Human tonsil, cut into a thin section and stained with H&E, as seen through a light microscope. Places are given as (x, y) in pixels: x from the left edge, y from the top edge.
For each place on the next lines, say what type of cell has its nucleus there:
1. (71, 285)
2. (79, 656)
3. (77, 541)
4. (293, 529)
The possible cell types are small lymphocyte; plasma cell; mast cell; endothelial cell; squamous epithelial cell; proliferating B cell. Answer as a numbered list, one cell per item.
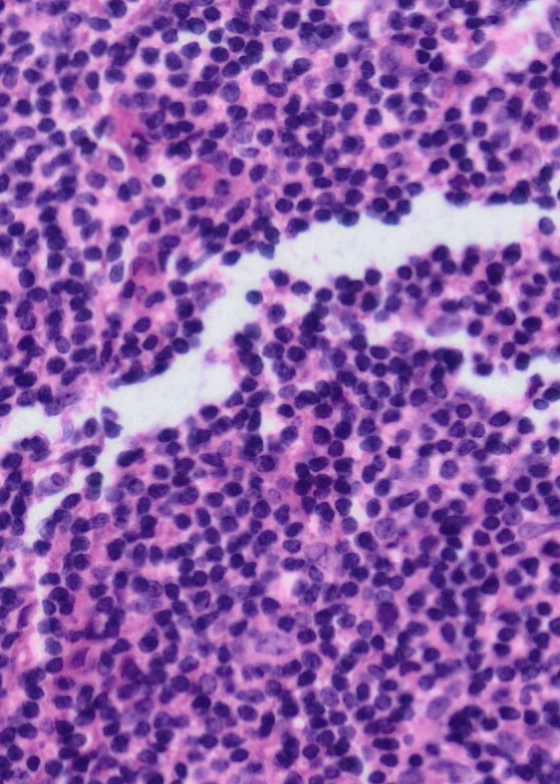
1. small lymphocyte
2. endothelial cell
3. small lymphocyte
4. small lymphocyte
